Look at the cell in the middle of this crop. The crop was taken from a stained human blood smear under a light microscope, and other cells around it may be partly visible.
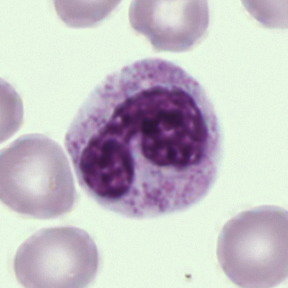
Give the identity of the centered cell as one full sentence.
Occupying the centre of the crop is a band neutrophil.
